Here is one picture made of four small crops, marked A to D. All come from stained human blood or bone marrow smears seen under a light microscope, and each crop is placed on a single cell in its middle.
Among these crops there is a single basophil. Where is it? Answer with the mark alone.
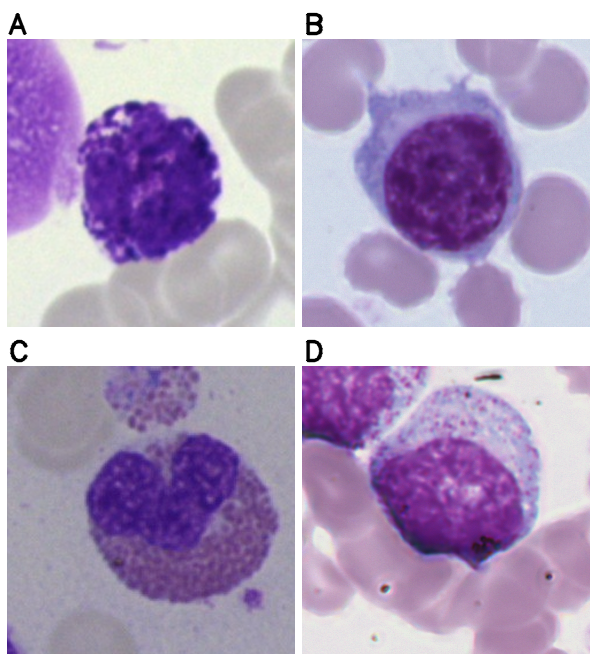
A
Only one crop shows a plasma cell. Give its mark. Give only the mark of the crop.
B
